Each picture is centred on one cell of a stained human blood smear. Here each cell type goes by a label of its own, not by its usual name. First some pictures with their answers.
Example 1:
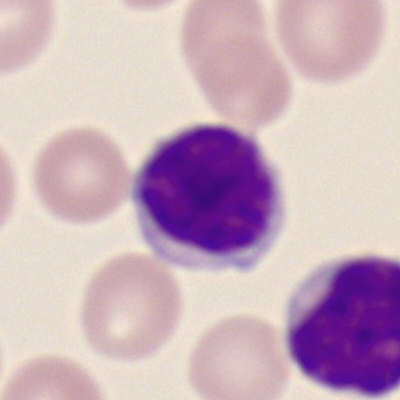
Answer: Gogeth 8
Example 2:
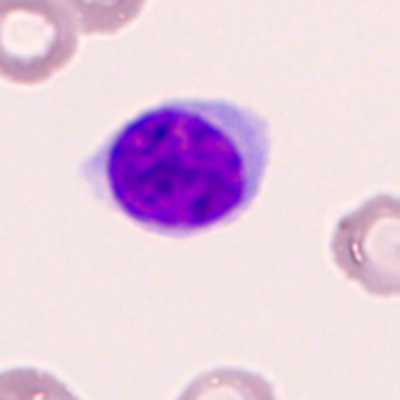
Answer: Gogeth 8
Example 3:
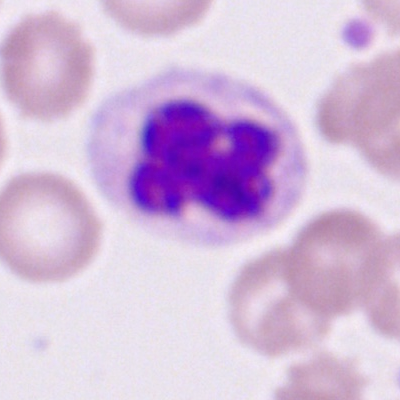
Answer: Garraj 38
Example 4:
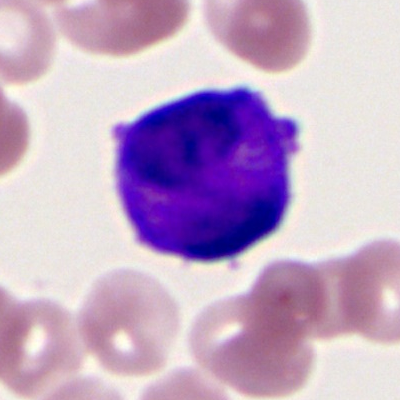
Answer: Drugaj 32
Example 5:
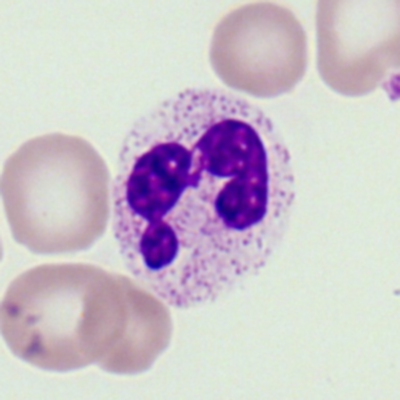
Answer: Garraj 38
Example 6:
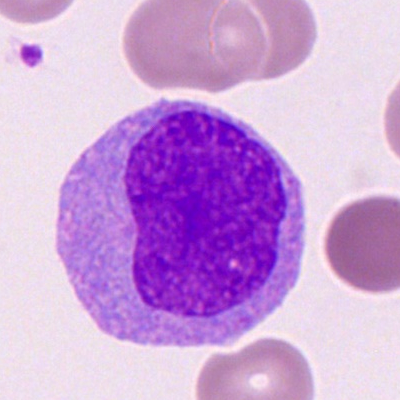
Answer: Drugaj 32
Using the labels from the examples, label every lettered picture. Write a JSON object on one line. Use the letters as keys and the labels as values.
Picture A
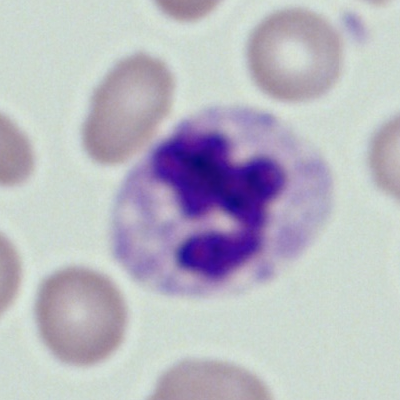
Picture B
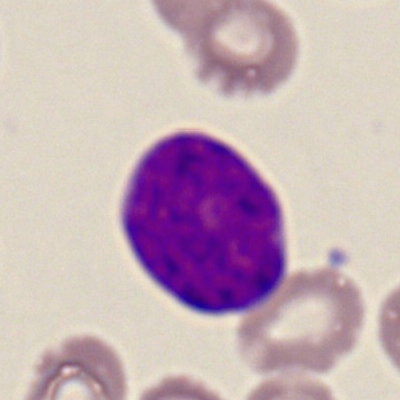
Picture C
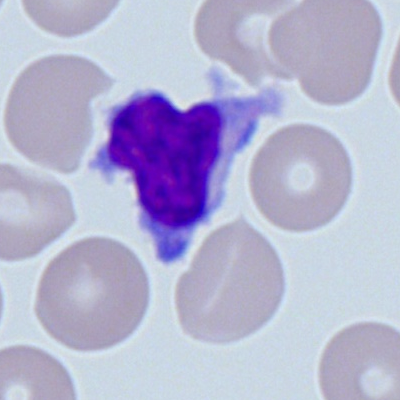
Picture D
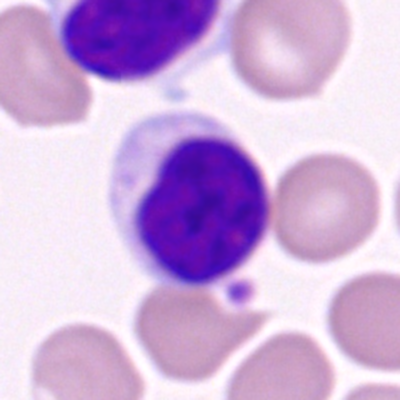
{"A": "Garraj 38", "B": "Drugaj 32", "C": "Gogeth 8", "D": "Gogeth 8"}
